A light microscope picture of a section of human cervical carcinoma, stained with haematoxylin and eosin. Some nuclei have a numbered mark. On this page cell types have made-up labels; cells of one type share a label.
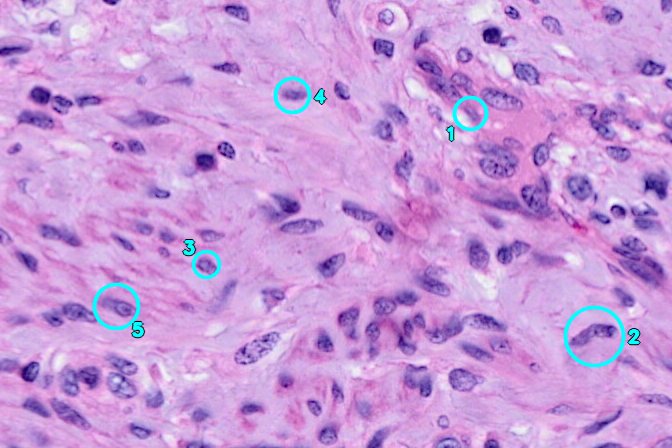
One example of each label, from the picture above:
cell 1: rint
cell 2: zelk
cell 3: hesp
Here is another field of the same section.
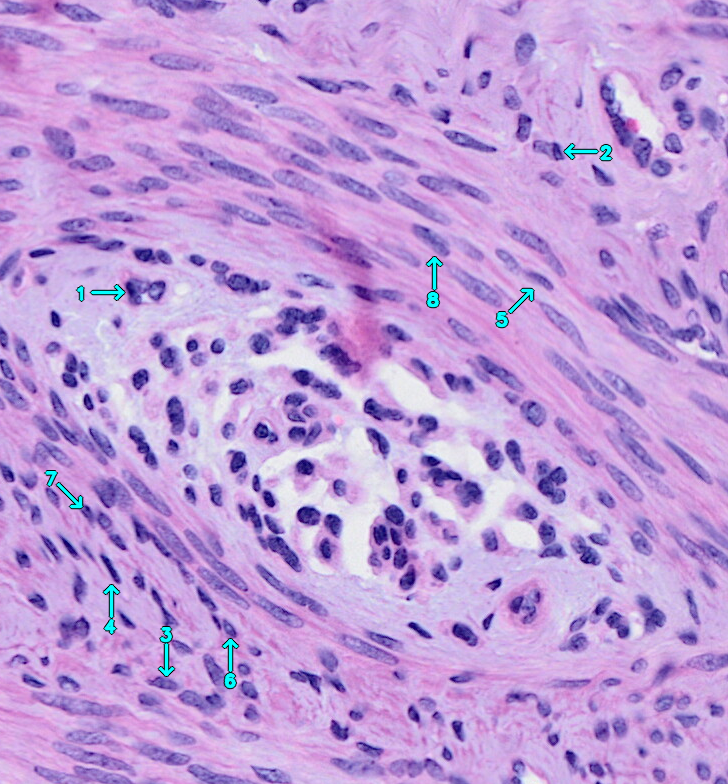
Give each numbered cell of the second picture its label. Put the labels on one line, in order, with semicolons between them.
rint; zelk; hesp; zelk; hesp; hesp; hesp; hesp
